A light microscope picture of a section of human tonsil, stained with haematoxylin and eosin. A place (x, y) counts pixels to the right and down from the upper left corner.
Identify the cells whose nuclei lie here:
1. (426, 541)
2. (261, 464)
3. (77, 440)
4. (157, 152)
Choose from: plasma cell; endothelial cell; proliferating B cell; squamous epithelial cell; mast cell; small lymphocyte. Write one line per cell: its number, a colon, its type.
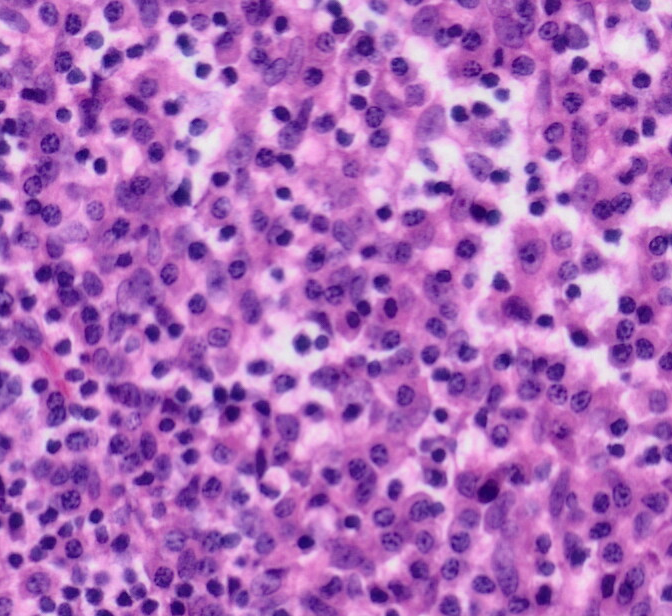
1: plasma cell
2: squamous epithelial cell
3: plasma cell
4: plasma cell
